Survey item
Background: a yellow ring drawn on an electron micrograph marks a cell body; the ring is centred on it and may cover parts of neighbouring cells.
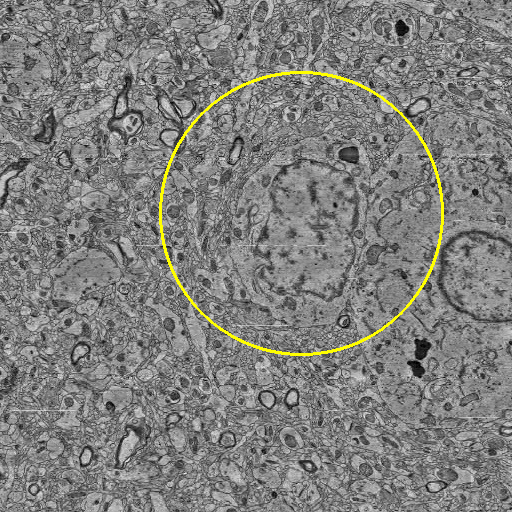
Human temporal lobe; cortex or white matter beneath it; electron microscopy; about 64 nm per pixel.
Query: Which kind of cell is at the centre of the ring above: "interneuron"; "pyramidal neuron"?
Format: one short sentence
The cell in the middle of the ring is an interneuron.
